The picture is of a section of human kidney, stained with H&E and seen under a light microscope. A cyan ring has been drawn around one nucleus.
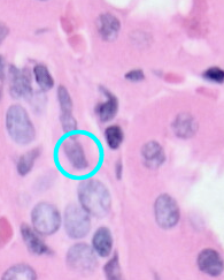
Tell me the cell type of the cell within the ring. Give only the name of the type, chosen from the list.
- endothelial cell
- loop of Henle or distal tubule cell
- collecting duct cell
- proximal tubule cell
collecting duct cell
